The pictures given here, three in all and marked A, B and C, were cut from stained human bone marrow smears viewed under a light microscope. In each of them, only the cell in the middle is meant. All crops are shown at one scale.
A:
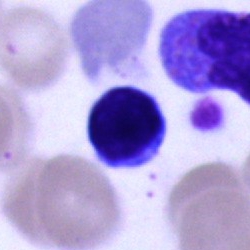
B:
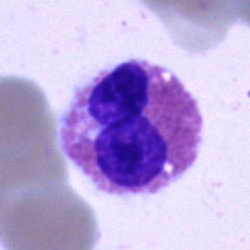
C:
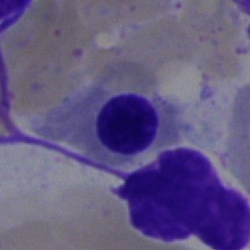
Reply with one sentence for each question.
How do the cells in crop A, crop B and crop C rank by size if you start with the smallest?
From the smallest up, the order is A, C, B.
